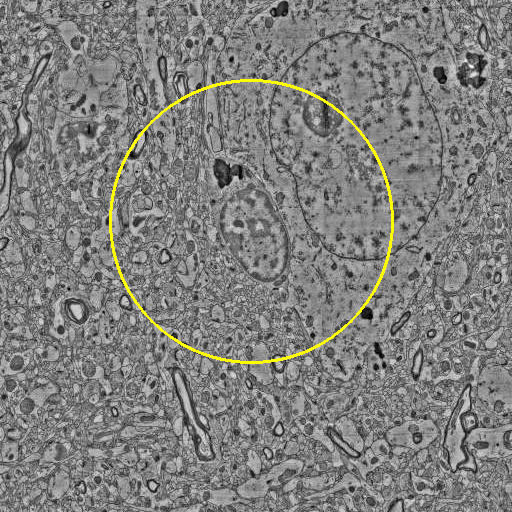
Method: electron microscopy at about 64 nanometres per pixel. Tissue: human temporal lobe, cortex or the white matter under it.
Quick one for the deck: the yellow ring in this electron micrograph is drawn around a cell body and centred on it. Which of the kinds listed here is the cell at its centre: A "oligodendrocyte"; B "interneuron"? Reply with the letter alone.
A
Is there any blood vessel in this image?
No, none is visible.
